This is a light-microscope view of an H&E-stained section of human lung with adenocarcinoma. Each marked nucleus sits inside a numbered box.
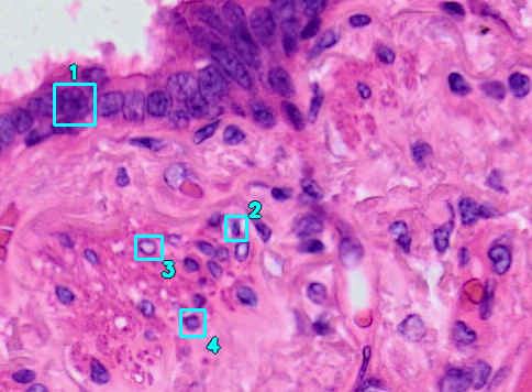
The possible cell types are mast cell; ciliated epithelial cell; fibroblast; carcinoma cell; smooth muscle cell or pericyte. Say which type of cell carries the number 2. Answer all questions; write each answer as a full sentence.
The cell bearing label 2 corresponds to a smooth muscle cell or pericyte.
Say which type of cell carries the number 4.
The one labeled 4 is a smooth muscle cell or pericyte, to put it simply.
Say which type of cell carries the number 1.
The cell referenced by the number 1 is a ciliated epithelial cell in this field.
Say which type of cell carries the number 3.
The nucleus marked 3 is the nucleus of a smooth muscle cell or pericyte.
